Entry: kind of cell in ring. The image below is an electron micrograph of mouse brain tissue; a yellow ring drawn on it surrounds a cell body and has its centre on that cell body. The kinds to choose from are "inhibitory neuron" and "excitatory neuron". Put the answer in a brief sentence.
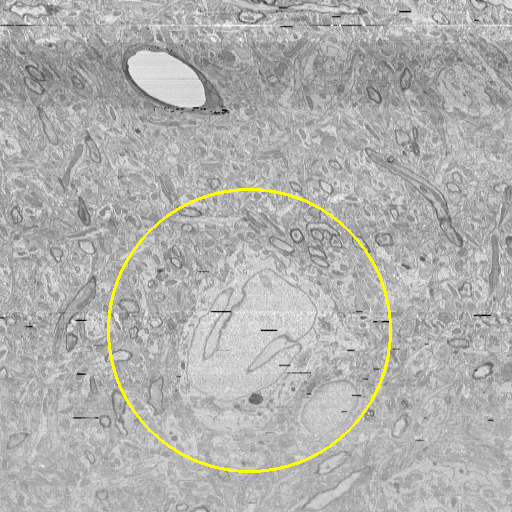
The ring has been drawn around an excitatory neuron.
